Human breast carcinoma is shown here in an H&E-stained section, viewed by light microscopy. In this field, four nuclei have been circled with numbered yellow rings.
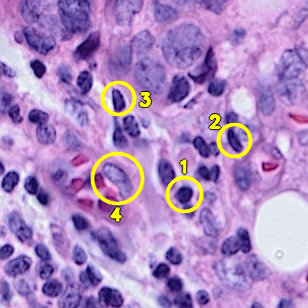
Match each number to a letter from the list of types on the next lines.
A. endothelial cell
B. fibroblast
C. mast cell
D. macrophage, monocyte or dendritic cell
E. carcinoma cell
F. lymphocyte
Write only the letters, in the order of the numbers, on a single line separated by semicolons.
F; F; F; A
